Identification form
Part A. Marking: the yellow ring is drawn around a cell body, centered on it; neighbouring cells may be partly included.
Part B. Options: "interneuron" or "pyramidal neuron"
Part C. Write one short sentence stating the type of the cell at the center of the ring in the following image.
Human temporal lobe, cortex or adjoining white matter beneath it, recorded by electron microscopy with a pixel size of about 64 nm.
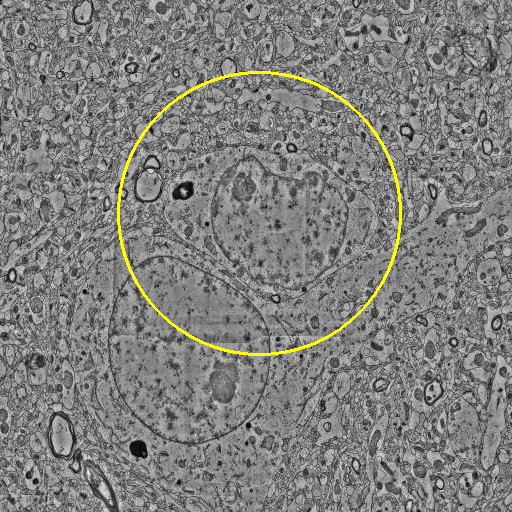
The center of the ring holds an interneuron.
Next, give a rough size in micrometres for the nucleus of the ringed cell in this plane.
The nucleus comes to roughly 9 micrometres across in this plane.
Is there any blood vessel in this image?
No, the image shows no blood vessel.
